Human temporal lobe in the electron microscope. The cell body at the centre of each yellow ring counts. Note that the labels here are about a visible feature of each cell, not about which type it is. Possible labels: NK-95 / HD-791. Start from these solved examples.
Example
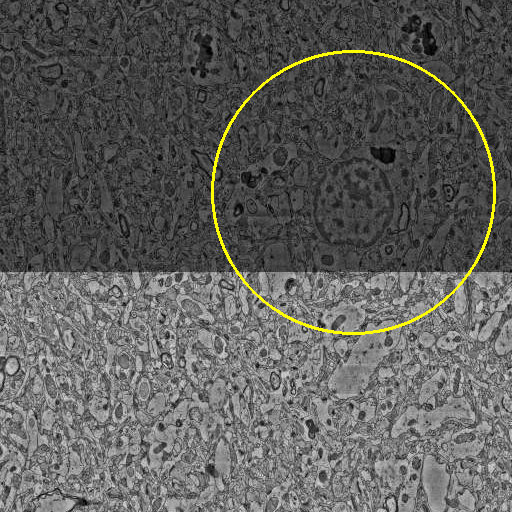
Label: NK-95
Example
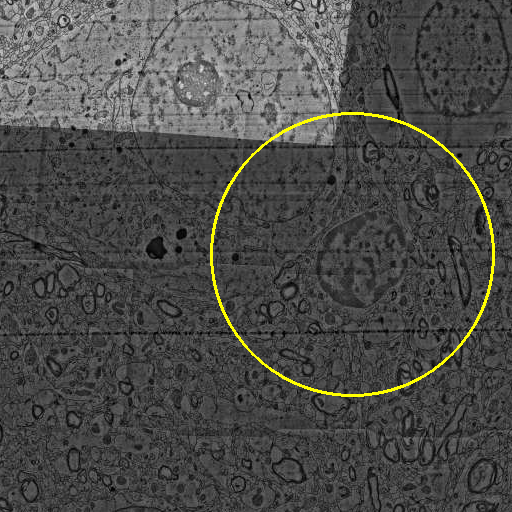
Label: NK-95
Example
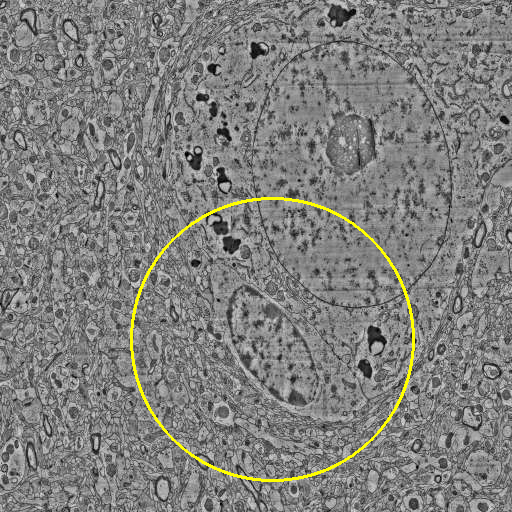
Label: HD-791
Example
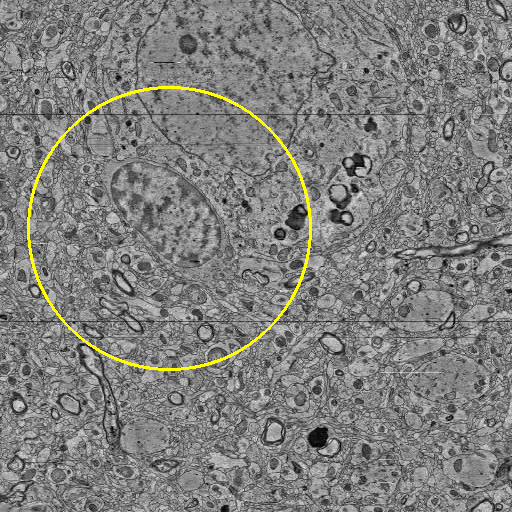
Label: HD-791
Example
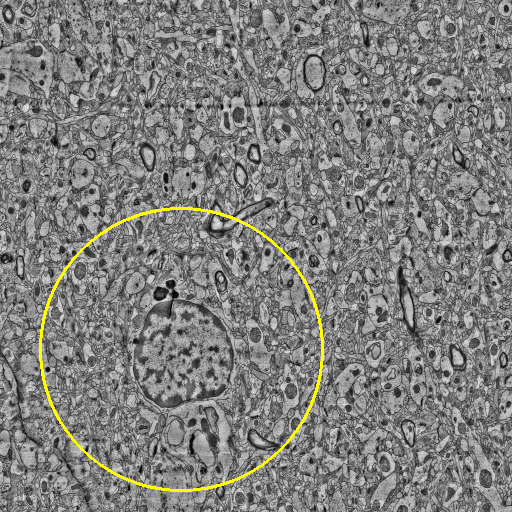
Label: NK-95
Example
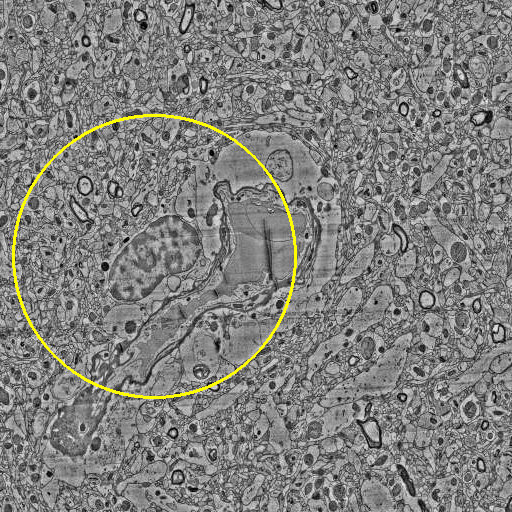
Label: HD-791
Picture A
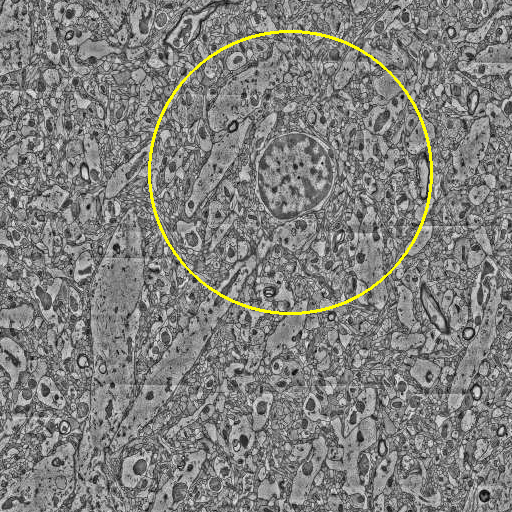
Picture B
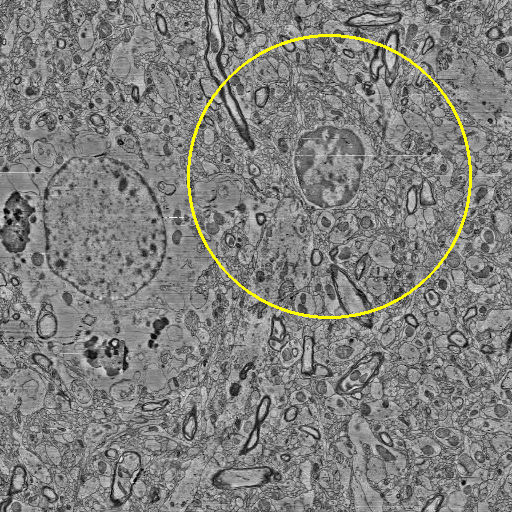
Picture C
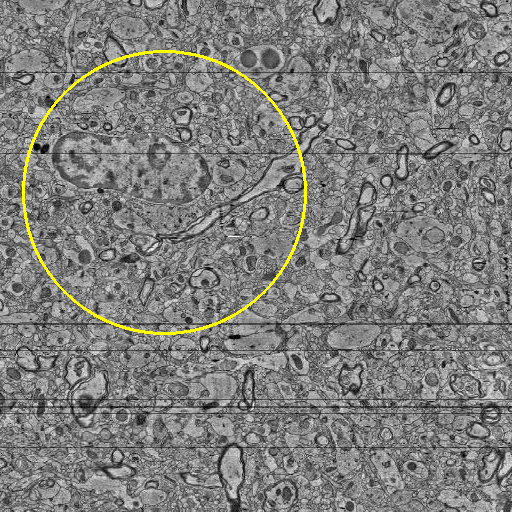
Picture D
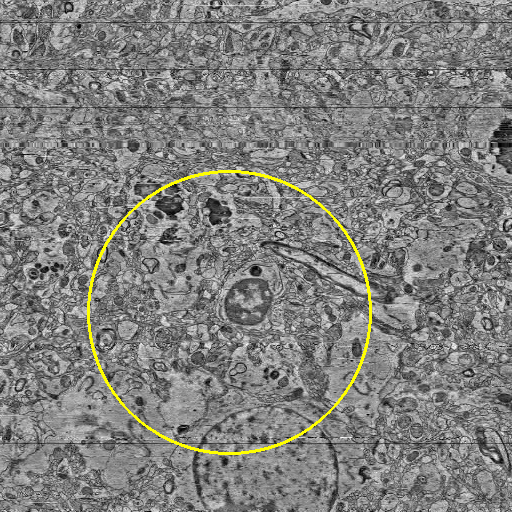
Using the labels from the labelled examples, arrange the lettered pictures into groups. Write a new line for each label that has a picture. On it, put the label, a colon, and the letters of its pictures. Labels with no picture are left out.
NK-95: A, B, D
HD-791: C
